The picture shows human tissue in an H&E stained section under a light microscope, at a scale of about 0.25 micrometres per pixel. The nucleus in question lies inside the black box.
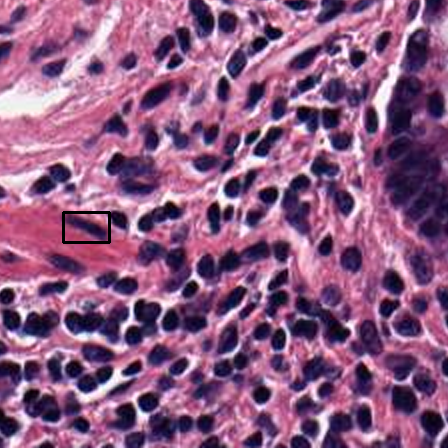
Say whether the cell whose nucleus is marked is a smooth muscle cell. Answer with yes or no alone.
yes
